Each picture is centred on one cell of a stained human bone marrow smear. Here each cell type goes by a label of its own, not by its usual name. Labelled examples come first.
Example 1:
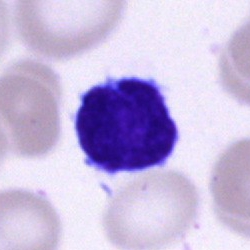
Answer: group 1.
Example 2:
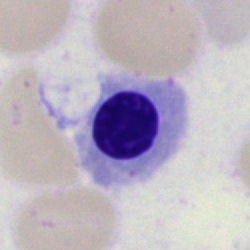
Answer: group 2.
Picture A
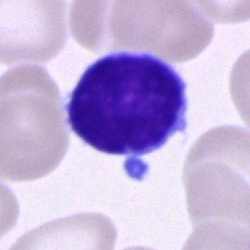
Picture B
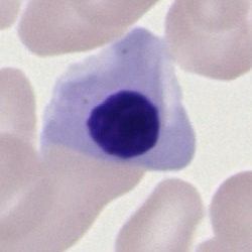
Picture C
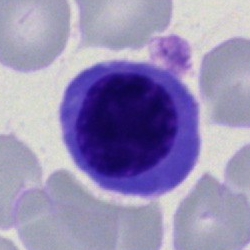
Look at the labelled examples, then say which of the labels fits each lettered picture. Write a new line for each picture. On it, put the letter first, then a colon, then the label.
A: group 1.
B: group 2.
C: group 2.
